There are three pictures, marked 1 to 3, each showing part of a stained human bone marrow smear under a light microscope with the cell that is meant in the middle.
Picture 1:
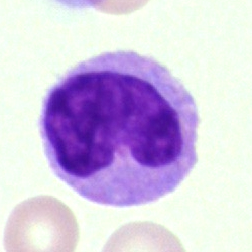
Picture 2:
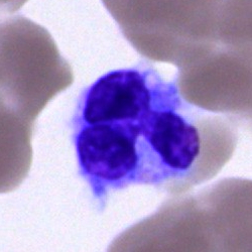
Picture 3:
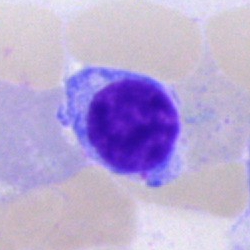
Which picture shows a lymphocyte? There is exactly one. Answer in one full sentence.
The cell in picture 3 is the lymphocyte.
